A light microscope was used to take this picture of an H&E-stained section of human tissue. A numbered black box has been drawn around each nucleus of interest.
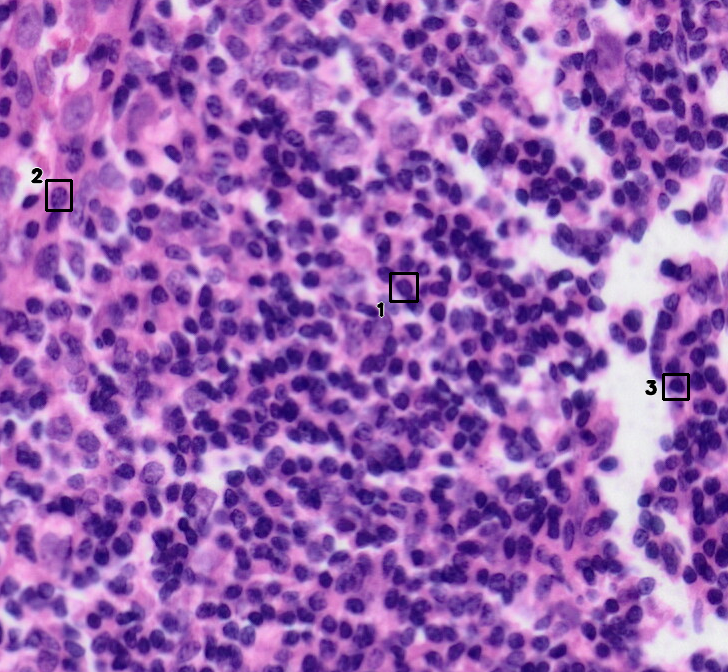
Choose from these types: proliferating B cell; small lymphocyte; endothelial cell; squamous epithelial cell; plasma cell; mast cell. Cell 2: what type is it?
endothelial cell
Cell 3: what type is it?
small lymphocyte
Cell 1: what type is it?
small lymphocyte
